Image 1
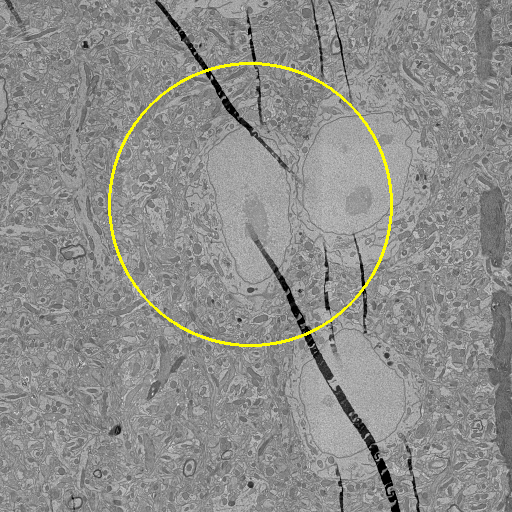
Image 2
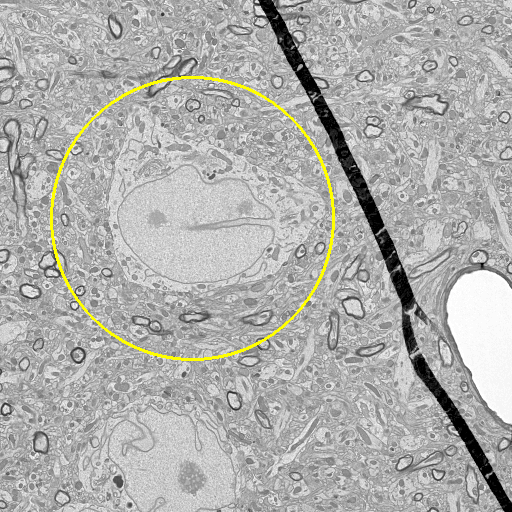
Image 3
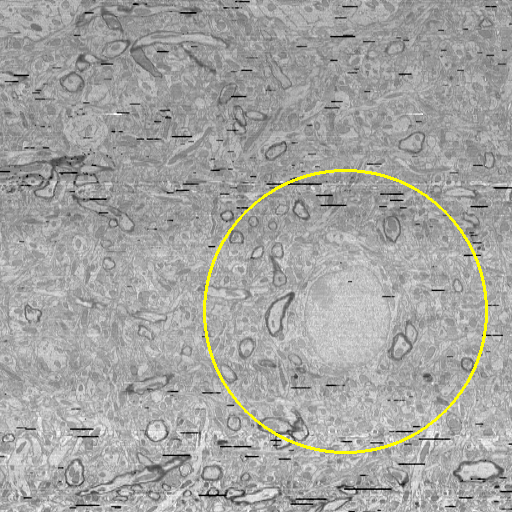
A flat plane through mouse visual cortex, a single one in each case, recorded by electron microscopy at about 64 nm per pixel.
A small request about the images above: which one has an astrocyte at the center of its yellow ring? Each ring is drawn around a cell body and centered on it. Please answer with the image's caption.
Image 3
